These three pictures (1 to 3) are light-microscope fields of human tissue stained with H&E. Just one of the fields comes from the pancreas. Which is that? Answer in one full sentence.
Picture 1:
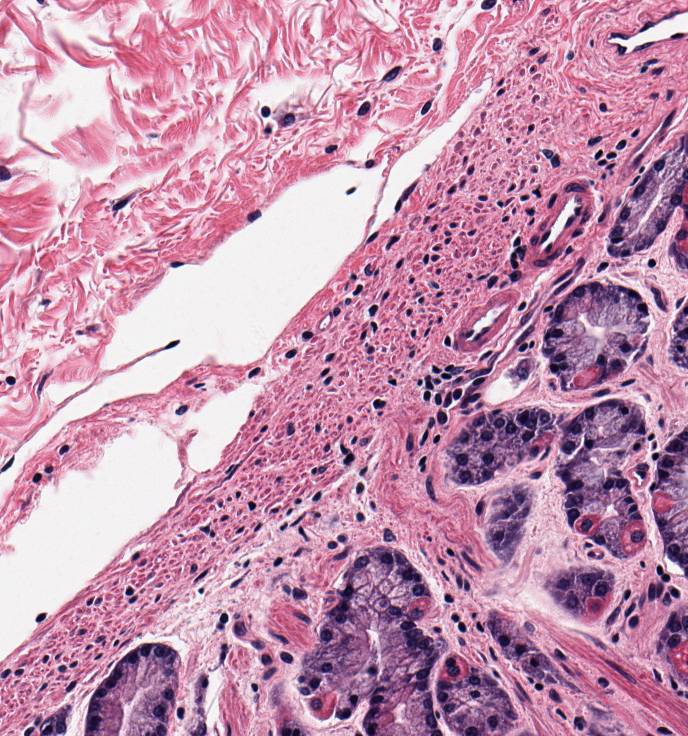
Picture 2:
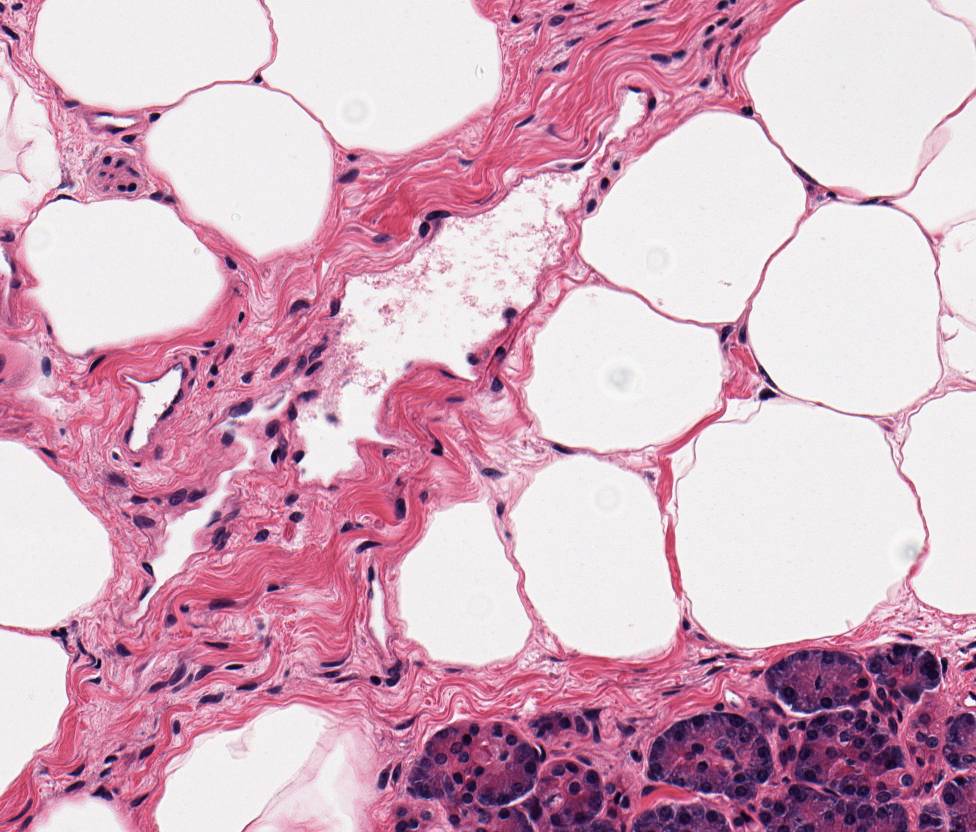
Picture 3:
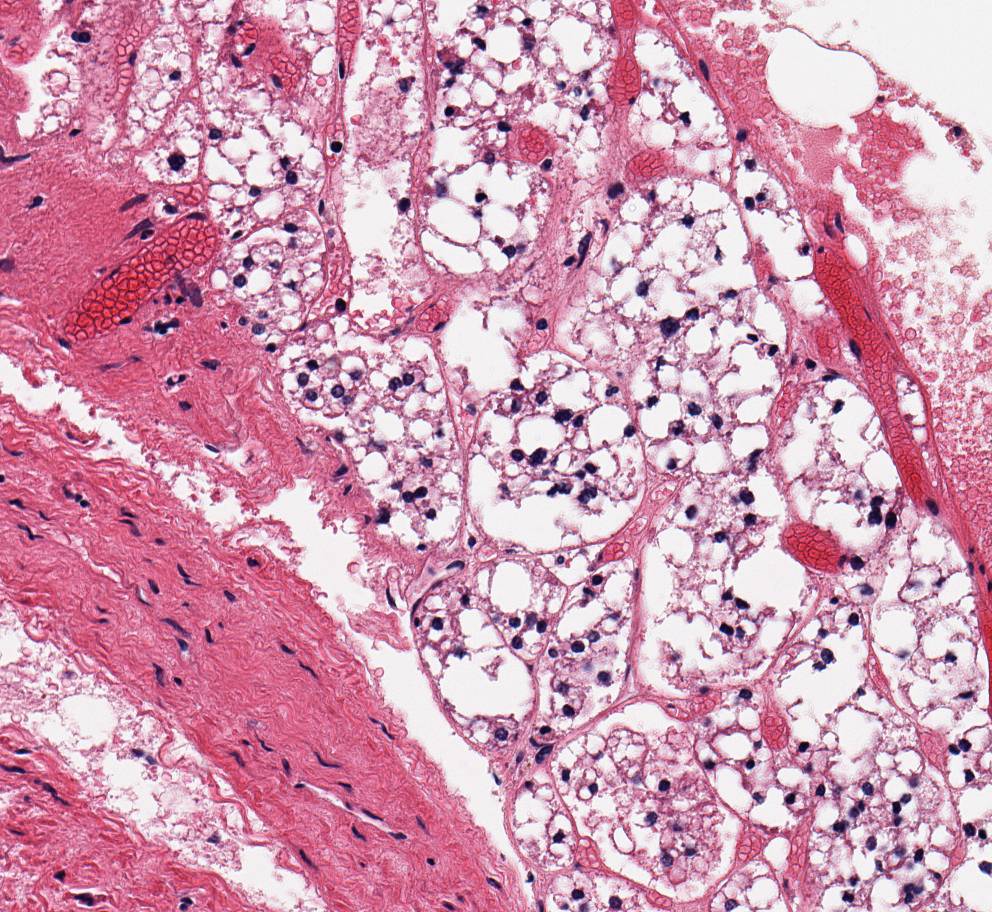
Picture 2 is the field that comes from the pancreas.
